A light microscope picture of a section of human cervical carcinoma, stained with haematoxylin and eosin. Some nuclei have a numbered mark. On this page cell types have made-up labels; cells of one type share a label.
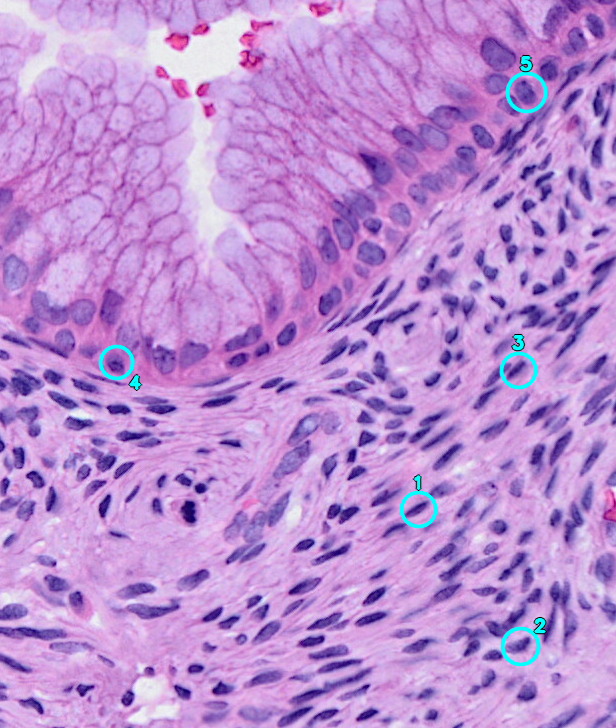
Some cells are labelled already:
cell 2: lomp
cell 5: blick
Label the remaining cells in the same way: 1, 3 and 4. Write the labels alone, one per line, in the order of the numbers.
lomp
lomp
blick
